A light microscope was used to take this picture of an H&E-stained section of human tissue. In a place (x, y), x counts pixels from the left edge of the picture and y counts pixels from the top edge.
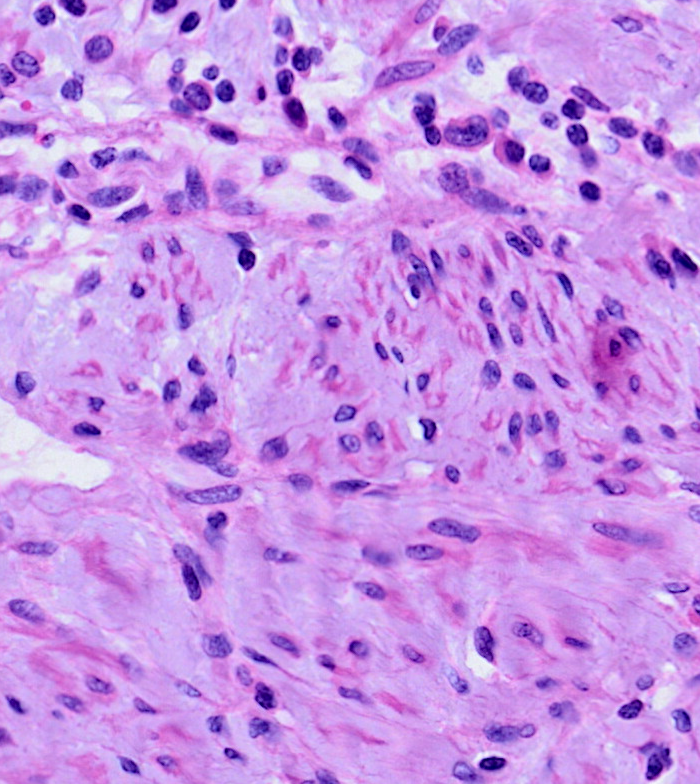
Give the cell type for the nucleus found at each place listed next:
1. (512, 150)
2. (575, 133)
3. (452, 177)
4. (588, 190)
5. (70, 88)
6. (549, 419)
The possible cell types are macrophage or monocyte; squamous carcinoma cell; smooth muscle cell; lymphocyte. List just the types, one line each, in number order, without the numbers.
lymphocyte
lymphocyte
macrophage or monocyte
lymphocyte
lymphocyte
smooth muscle cell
